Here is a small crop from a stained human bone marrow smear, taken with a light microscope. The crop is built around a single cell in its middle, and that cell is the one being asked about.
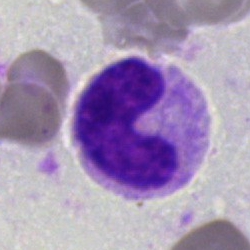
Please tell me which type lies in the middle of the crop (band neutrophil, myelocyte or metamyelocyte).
band neutrophil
